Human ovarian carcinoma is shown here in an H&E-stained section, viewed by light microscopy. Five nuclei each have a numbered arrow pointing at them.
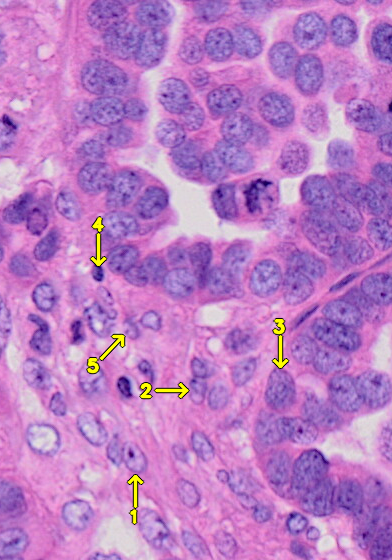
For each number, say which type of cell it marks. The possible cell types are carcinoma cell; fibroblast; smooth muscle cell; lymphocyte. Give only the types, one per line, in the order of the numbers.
fibroblast
fibroblast
carcinoma cell
lymphocyte
fibroblast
